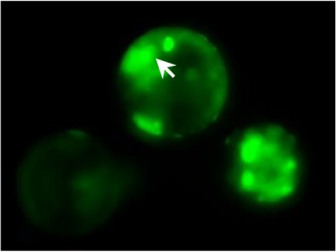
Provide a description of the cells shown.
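Several rounded embryos are seen in green fluorescence, one large and expanded with a hollow, dimmer centre and a bright rim. On one side of this large embryo's wall, a small cluster of intensely green cells bulges inward, marked by a white arrow. This inward clump is the inner cell mass of an expanded blastocyst, sitting against the thin outer cell layer. A smaller neighbouring embryo shows patchy bright green cells, while another to the lower left glows only faintly.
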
